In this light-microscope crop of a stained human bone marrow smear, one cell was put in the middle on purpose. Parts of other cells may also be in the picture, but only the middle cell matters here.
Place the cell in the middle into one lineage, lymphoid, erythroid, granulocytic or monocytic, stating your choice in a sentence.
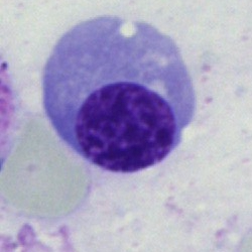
For the cell at the center, the lineage is erythroid.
